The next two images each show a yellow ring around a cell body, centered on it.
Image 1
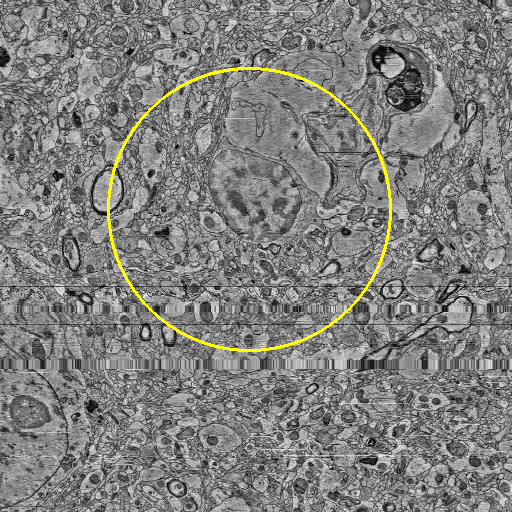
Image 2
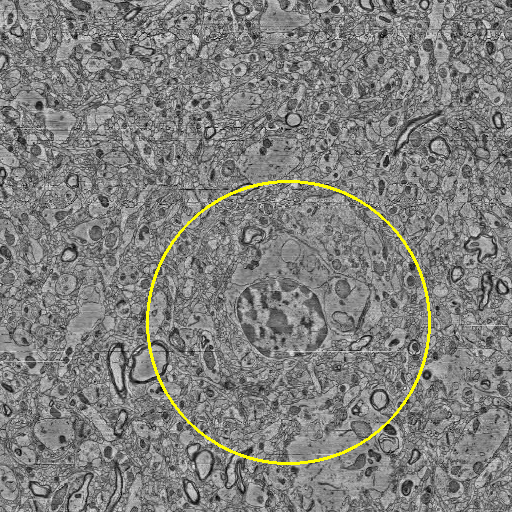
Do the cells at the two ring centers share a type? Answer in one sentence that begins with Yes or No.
No, across the two images the cells at the ring centers are of two types.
